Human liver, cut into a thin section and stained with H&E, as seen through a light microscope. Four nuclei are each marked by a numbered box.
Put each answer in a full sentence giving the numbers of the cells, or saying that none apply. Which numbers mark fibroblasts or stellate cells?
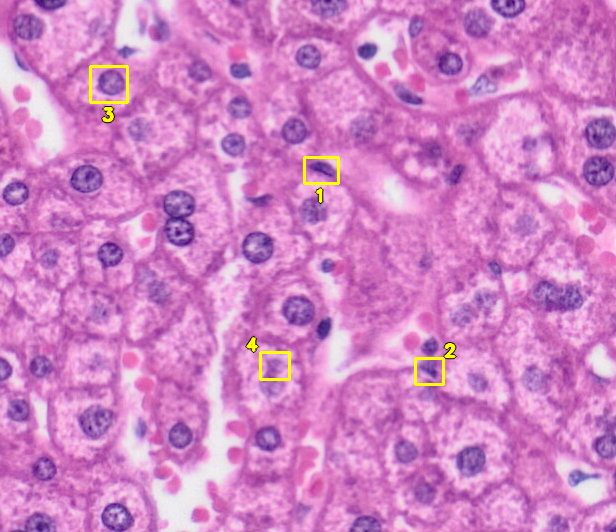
The cells labelled 1 and 2 in this section are fibroblasts or stellate cells.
